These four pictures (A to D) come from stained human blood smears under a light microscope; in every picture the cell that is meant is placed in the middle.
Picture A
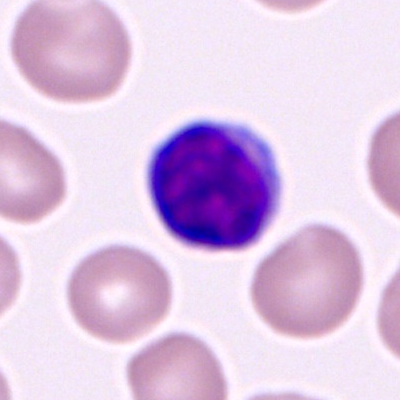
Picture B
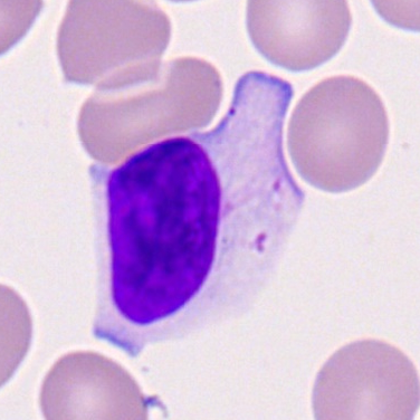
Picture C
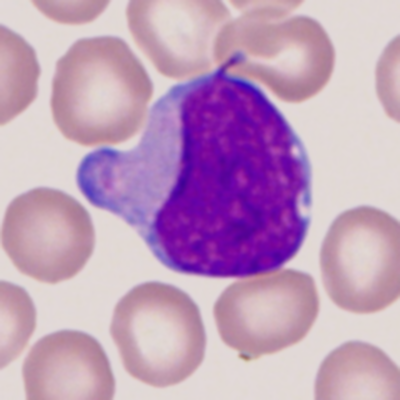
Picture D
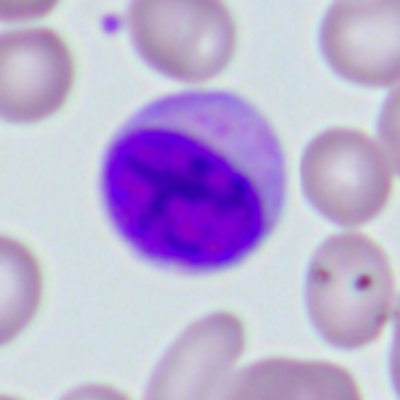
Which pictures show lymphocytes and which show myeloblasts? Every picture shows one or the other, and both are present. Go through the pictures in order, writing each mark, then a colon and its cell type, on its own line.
A: lymphocyte
B: lymphocyte
C: myeloblast
D: lymphocyte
